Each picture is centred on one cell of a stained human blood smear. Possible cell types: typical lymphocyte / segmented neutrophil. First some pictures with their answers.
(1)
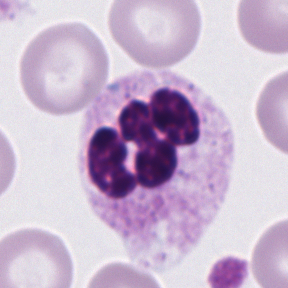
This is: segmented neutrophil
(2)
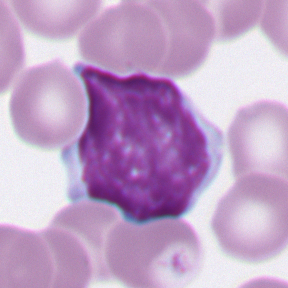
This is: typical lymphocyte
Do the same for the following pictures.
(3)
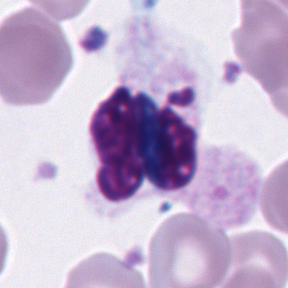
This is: segmented neutrophil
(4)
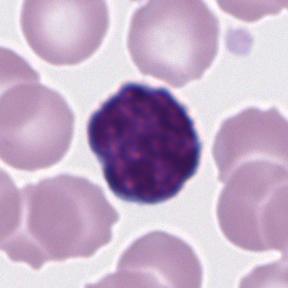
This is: typical lymphocyte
